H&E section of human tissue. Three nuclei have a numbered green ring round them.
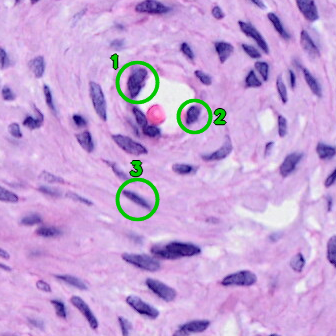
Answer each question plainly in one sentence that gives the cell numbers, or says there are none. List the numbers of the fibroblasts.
Among the marked cells, cell number 3 alone is a fibroblast.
